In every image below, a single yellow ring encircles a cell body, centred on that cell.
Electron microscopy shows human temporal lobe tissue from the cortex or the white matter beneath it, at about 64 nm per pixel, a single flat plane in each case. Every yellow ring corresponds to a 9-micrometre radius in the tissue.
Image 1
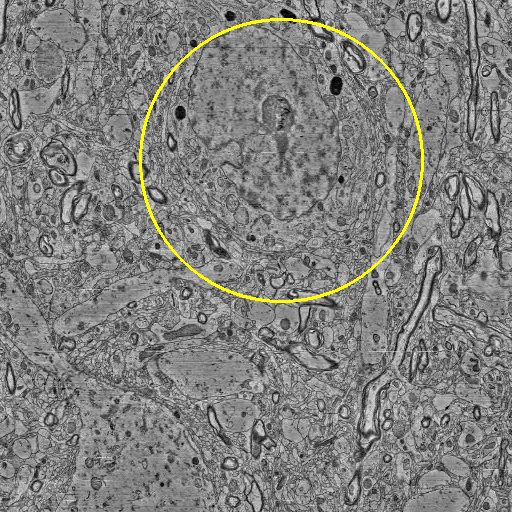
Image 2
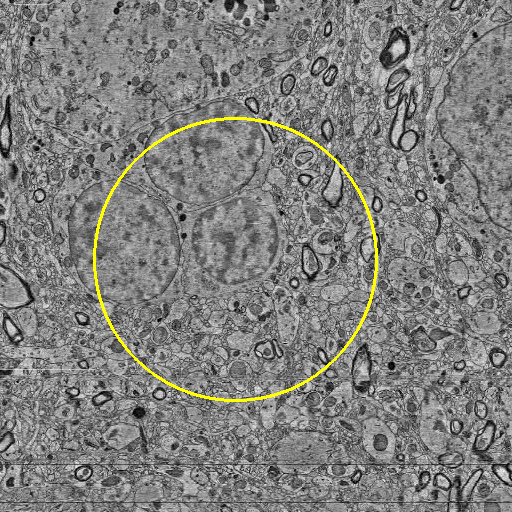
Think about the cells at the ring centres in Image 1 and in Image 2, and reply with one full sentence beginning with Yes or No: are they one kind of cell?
No, the cells centred in the rings of Image 1 and Image 2 are two kinds of cell.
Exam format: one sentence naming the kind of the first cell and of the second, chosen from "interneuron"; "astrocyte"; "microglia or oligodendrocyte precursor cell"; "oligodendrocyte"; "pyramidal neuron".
The first picture's cell is an interneuron, and the second picture's cell is an oligodendrocyte.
